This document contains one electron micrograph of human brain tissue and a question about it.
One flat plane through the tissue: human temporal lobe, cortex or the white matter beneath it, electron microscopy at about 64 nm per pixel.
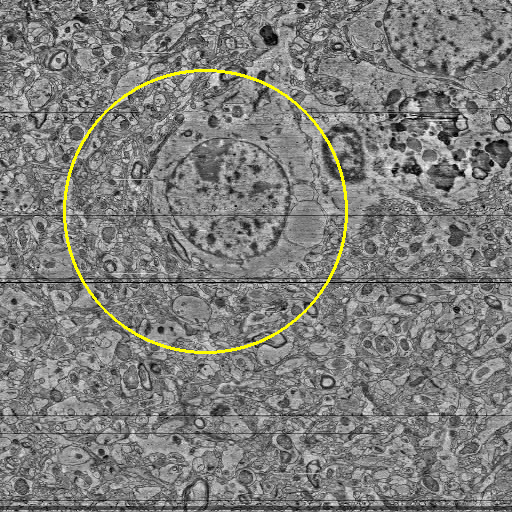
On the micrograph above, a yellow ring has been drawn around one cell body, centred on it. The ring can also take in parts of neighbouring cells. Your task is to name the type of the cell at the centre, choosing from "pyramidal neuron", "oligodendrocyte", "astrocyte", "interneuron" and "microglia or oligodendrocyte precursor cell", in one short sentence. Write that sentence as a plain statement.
Here the ring is centred on an astrocyte.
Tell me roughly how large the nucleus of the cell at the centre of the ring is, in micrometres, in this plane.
About 8 micrometres across, as seen in this plane.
